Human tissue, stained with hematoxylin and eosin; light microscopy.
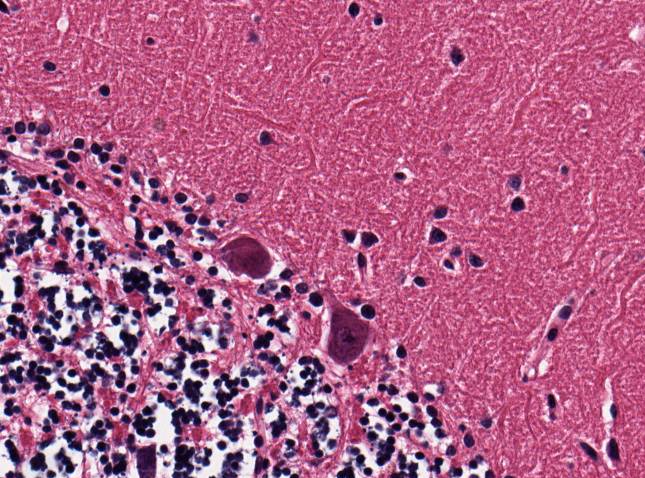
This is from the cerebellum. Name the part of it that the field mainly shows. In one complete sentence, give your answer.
On this slide, the tissue part is known as molecular layer.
